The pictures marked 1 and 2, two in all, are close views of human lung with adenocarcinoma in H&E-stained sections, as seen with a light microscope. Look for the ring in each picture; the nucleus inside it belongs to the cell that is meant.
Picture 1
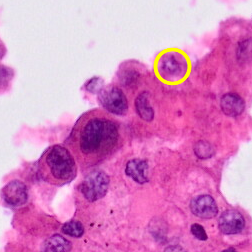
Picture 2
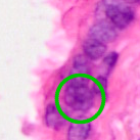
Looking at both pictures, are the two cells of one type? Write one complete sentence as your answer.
No, they differ: the cell is a “macrophage or monocyte” in picture 1 and a ciliated epithelial cell in picture 2.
